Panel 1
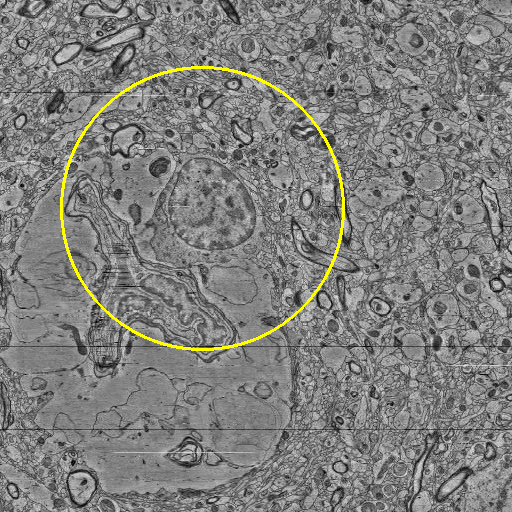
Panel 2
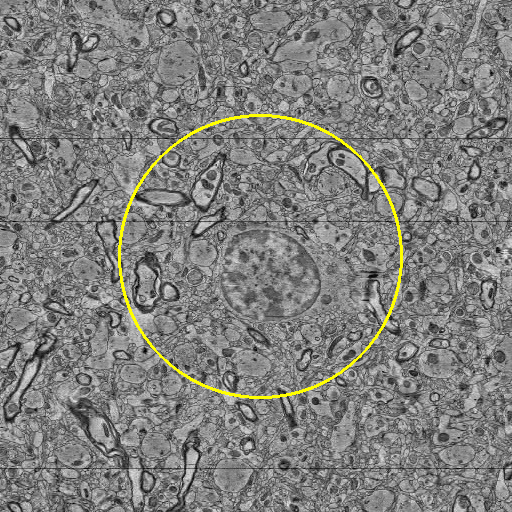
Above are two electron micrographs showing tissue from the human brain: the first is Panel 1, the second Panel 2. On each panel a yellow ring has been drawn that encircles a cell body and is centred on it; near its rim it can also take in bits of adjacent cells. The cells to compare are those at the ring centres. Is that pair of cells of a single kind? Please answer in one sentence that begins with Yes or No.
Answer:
Yes, the ring-centred cells of Panel 1 and Panel 2 belong to one kind.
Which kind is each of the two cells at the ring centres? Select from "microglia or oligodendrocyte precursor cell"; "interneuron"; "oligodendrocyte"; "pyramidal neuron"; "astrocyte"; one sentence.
Both pictures show an oligodendrocyte at the centre of the ring.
